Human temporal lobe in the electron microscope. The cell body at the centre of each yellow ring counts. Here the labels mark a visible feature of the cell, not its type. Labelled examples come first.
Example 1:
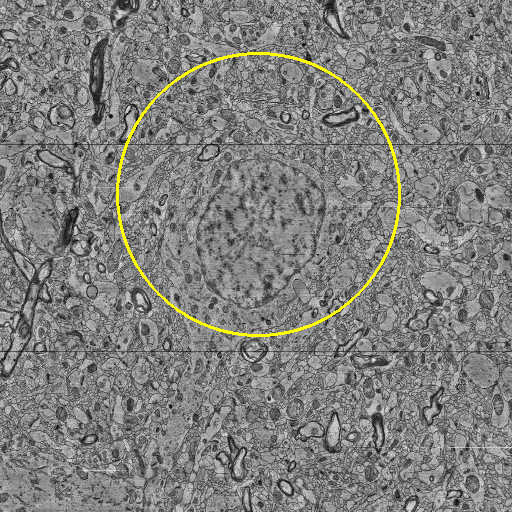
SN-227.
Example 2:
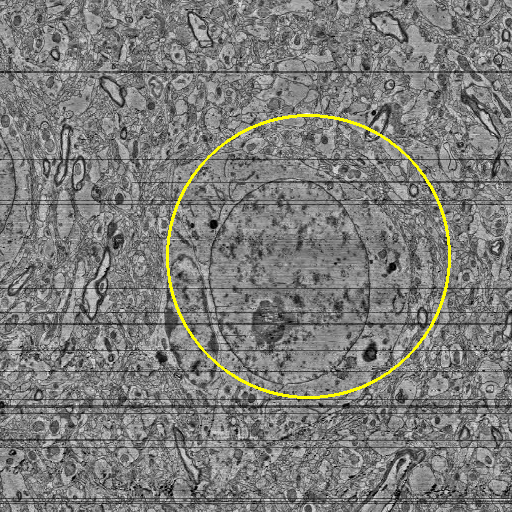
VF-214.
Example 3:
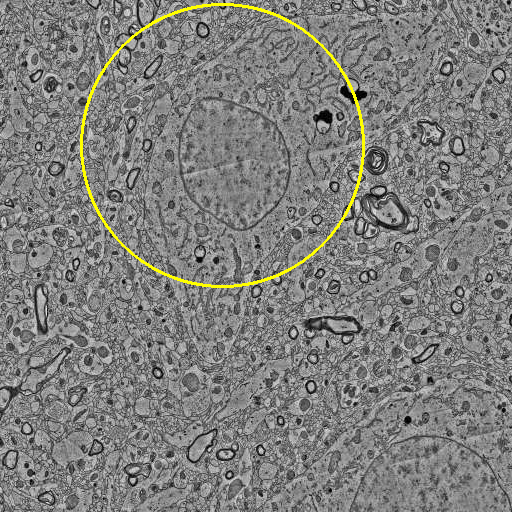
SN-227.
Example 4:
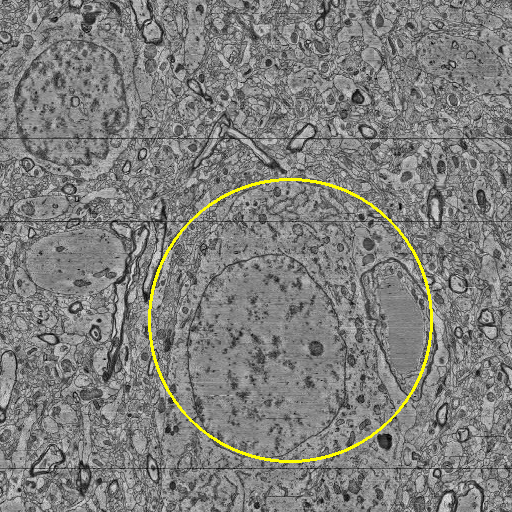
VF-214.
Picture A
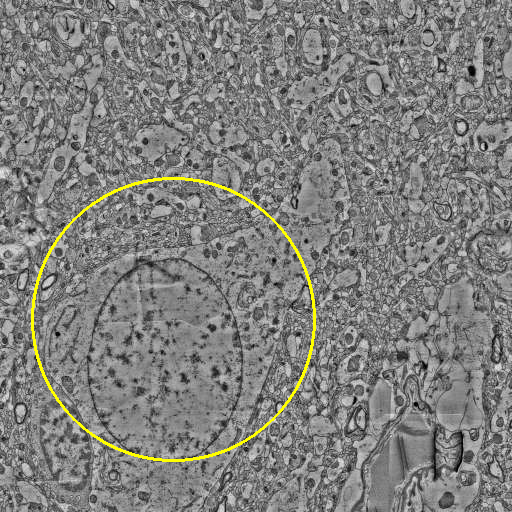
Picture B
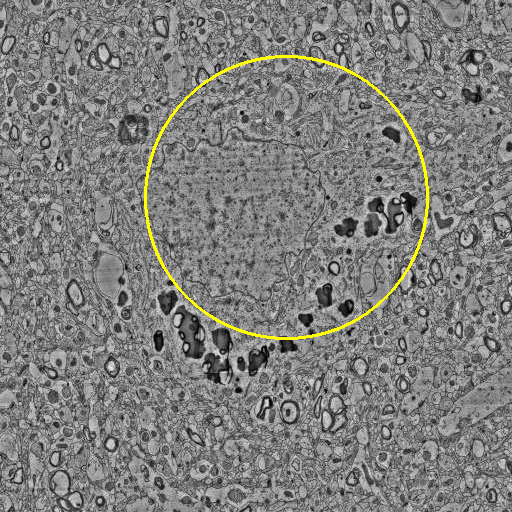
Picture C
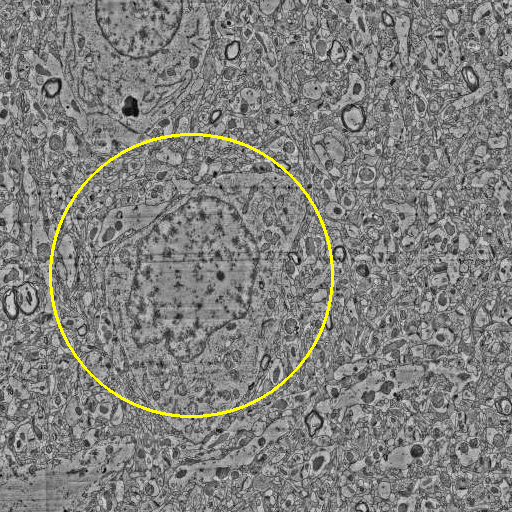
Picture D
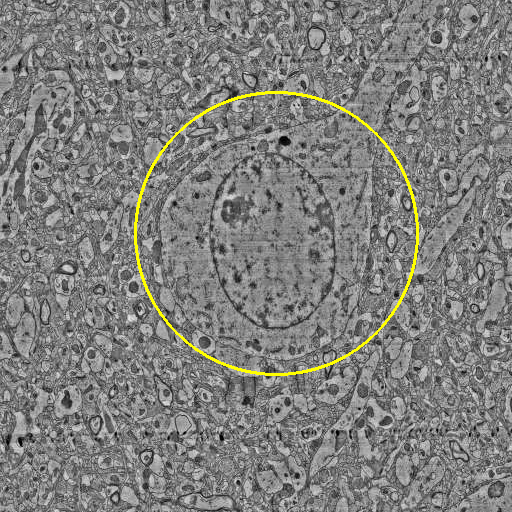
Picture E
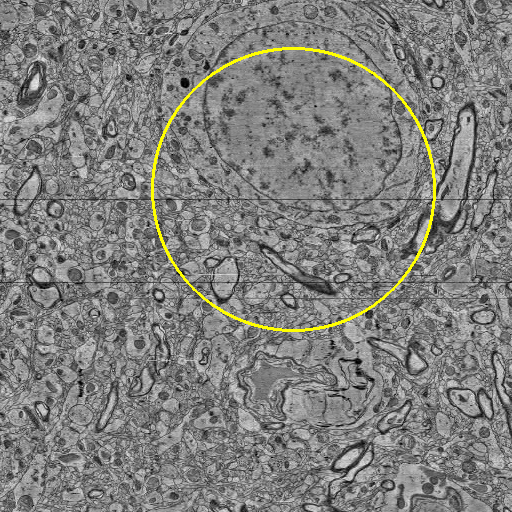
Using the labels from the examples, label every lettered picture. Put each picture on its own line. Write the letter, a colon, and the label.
A: SN-227.
B: SN-227.
C: VF-214.
D: VF-214.
E: SN-227.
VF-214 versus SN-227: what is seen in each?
Seen in VF-214: nucleolus seen; seen in SN-227: no nucleolus seen.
